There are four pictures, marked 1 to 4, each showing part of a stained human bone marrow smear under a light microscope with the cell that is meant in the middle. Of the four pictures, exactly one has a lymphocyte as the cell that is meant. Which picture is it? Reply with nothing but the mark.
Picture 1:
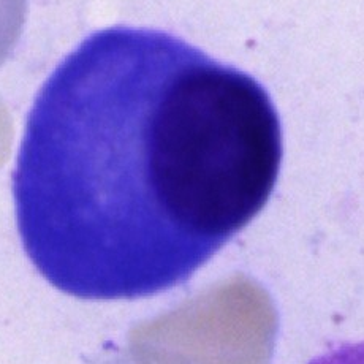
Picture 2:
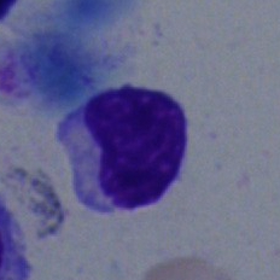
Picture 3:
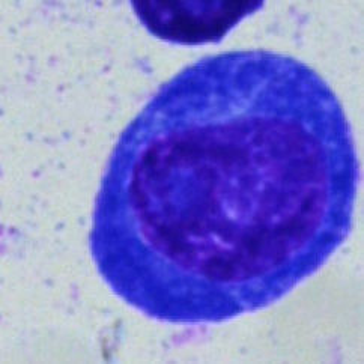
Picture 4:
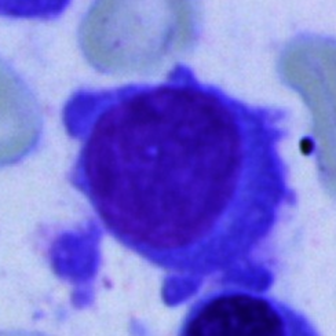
2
